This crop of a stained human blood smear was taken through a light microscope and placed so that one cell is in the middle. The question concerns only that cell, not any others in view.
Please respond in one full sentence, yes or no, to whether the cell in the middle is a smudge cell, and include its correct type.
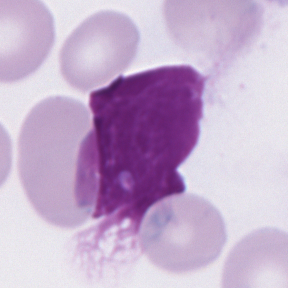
Yes, the cell of interest in the middle is a smudge cell.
